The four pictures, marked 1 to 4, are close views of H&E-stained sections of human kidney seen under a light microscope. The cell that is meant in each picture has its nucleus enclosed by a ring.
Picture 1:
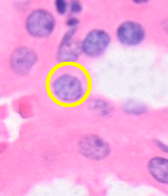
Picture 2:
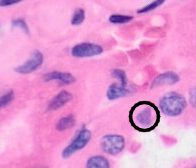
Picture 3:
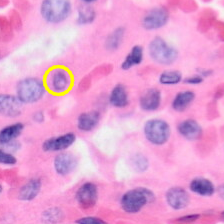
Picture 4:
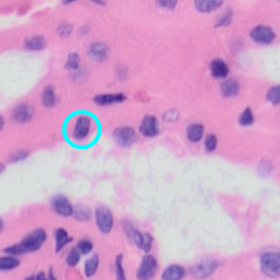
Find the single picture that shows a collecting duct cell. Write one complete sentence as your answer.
It is picture 3 that shows the collecting duct cell.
